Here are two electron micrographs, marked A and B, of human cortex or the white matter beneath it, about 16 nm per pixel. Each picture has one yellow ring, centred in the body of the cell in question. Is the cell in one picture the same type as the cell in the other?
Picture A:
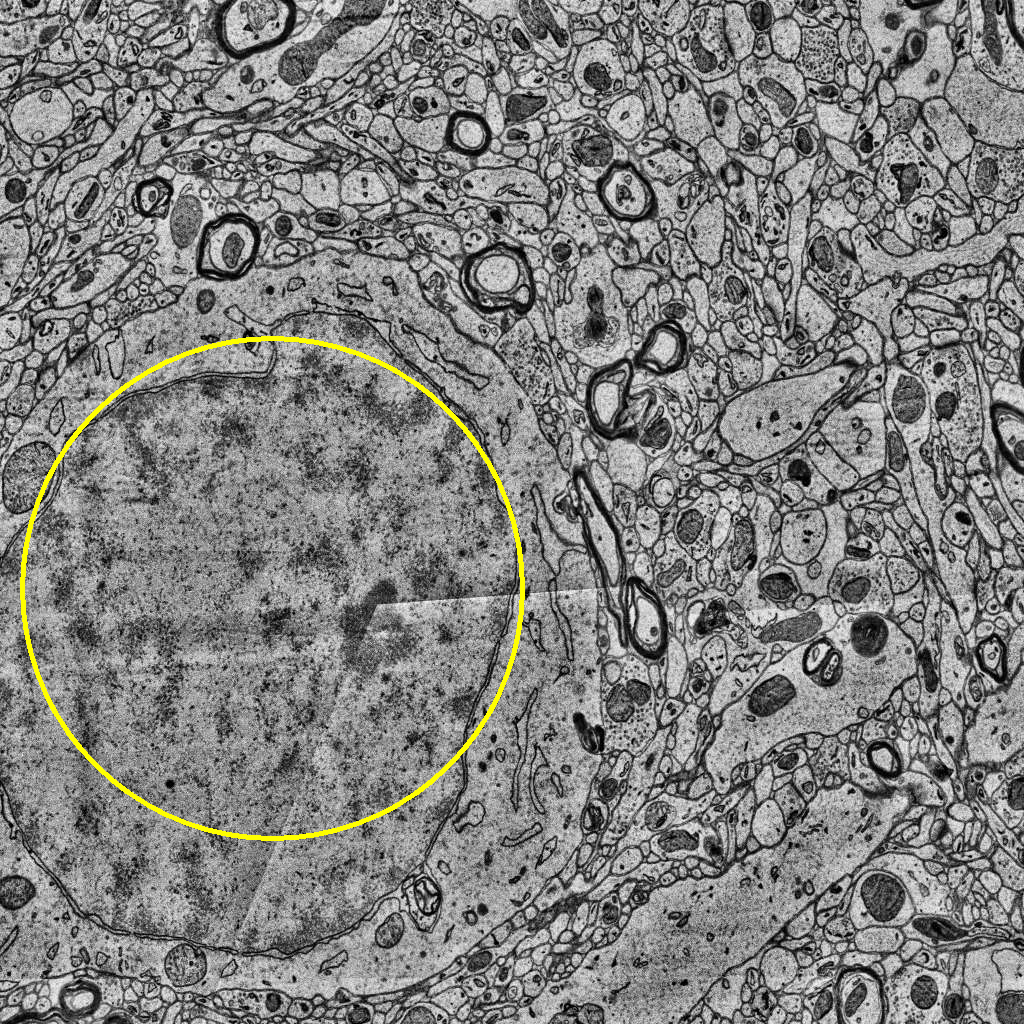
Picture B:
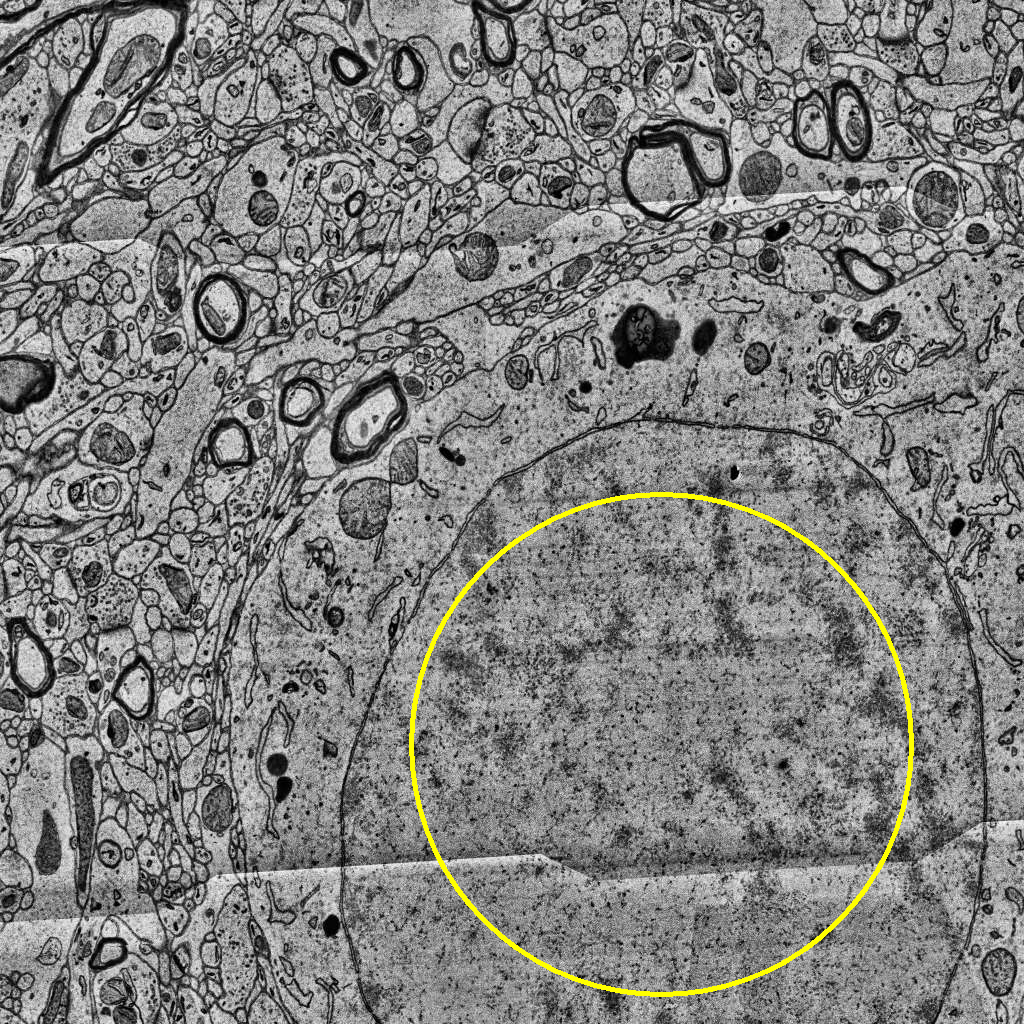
No. Picture A shows an interneuron, but picture B shows a pyramidal neuron.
